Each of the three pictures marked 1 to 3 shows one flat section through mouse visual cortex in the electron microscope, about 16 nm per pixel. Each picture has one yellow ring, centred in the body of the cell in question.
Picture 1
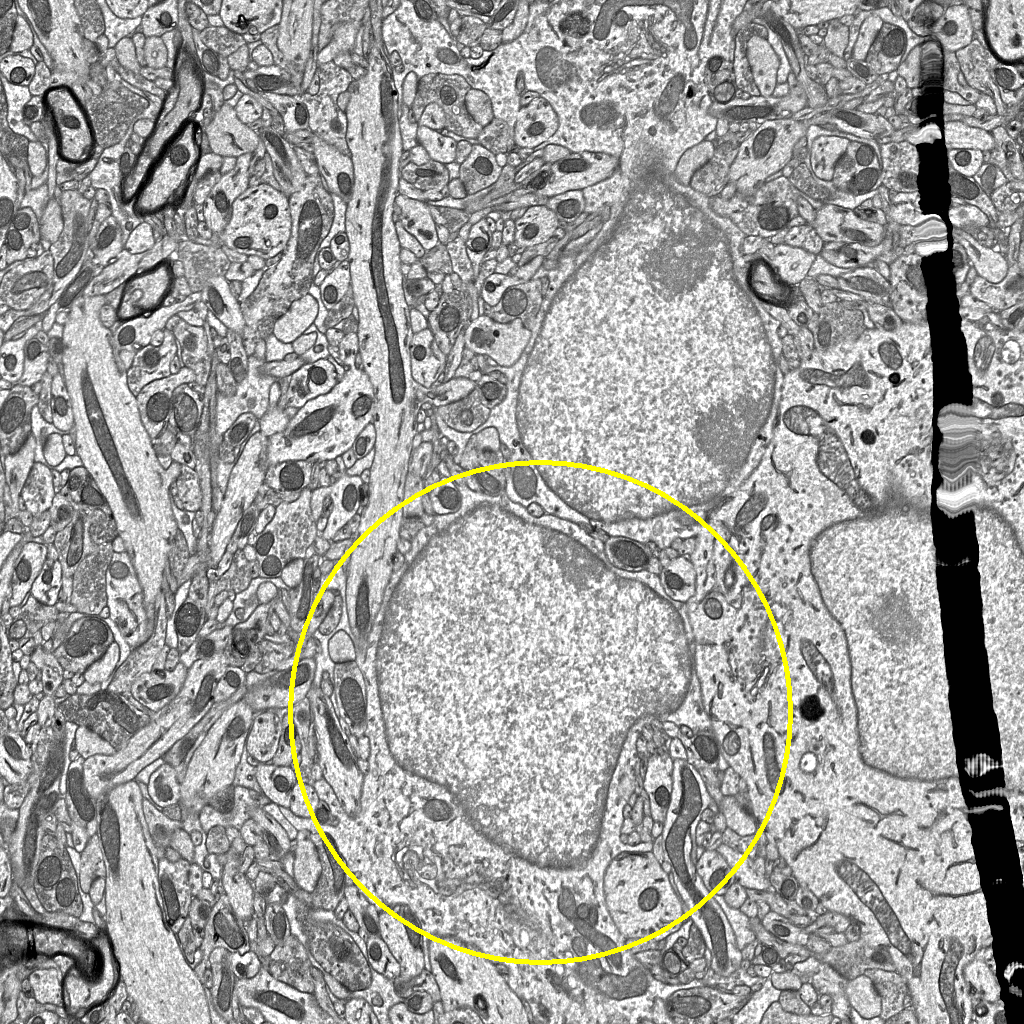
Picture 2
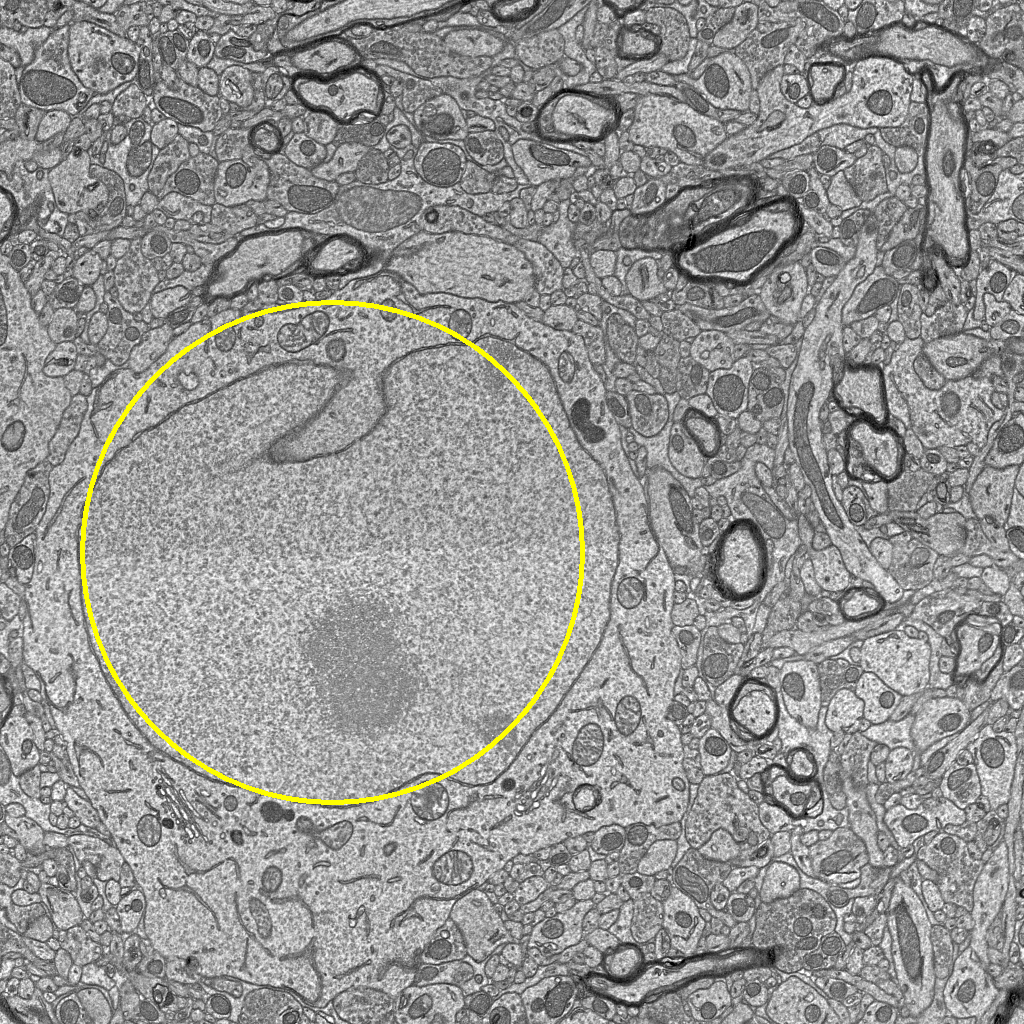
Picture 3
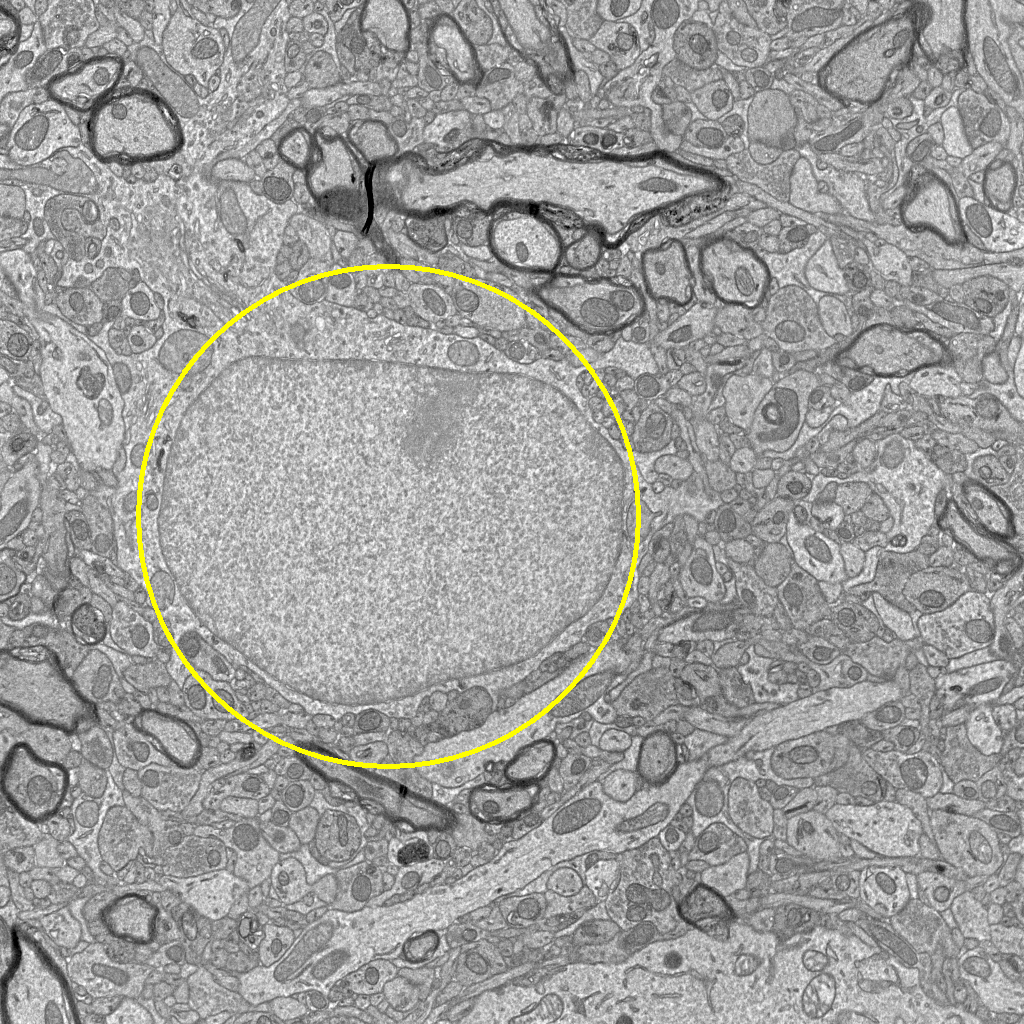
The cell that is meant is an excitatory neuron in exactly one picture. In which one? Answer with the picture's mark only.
2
